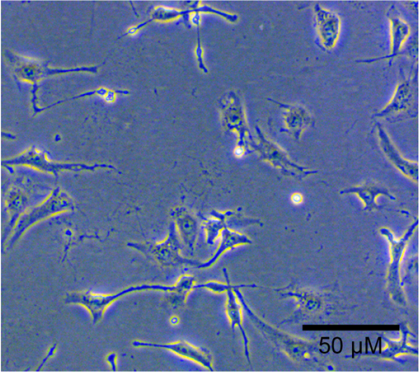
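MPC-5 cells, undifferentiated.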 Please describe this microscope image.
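Cultured podocytes grow sparsely scattered on the dish, seen by phase contrast. Many cells are elongated or spindle-shaped with long, thin processes extending from the cell body, some reaching toward neighbouring cells. A few small round bright bodies lie free between the cells.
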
